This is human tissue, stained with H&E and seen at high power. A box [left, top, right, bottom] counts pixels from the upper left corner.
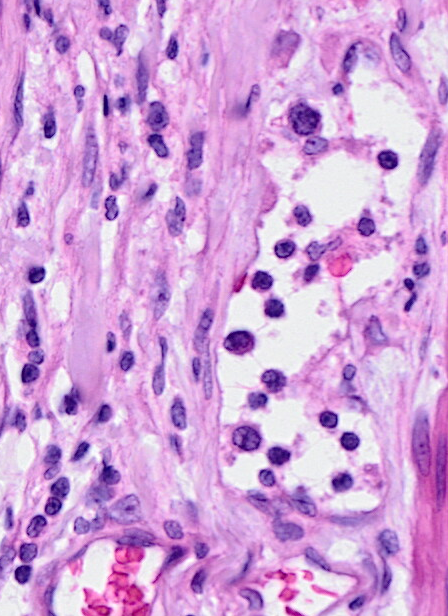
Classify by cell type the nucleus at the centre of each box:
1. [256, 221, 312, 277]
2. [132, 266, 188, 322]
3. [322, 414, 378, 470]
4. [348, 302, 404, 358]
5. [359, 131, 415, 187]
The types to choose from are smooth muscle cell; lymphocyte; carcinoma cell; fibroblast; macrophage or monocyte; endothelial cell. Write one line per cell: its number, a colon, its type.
1: lymphocyte
2: fibroblast
3: lymphocyte
4: fibroblast
5: lymphocyte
